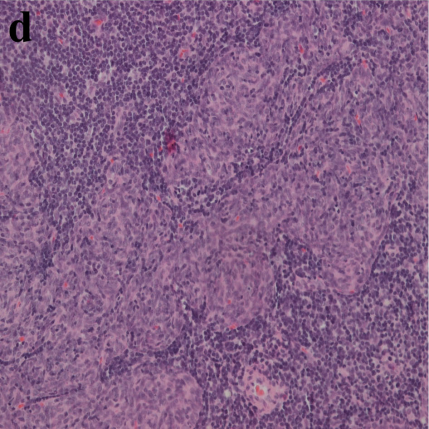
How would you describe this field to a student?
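The micronodules are pale pink islands of elongated cells with oval, pale nuclei and eosinophilic cytoplasm. Between and around them lie dense sheets of small round cells with dark nuclei and scant cytoplasm. Small foci of red blood cells are seen among the nodules.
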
